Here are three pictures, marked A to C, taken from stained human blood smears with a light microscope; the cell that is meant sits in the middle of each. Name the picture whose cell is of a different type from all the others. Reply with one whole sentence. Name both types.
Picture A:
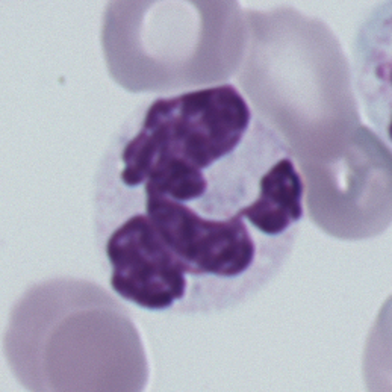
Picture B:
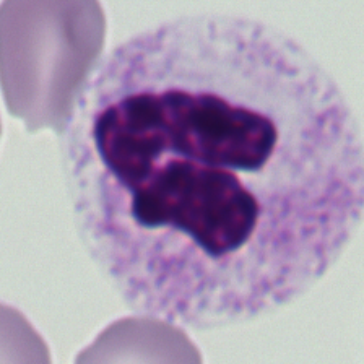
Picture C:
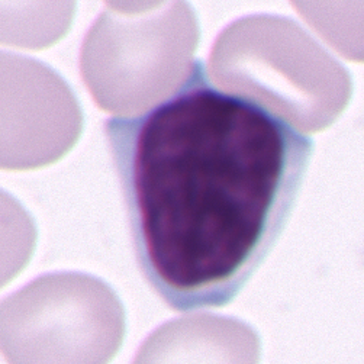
The others show segmented neutrophils, but picture C shows a typical lymphocyte.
